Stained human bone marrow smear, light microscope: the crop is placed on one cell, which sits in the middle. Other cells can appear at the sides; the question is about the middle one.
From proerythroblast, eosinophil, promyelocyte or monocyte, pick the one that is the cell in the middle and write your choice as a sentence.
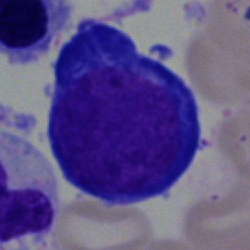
In the centre of this crop there is a proerythroblast.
